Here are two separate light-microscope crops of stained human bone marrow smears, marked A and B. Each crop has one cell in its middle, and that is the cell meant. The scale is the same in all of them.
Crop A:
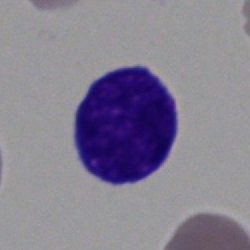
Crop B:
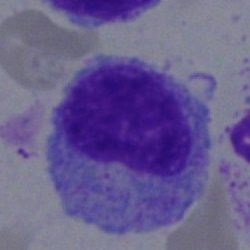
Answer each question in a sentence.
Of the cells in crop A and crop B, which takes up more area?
Larger is the cell in crop B, at roughly 2 times the area of the other.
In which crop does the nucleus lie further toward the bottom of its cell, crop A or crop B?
Seen within its cell, the nucleus in crop A lies further toward the bottom.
